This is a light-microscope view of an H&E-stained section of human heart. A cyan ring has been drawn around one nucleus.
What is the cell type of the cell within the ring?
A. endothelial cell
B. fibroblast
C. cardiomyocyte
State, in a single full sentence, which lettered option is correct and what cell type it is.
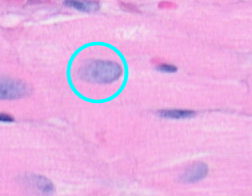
Option C holds, since the cell within the ring is a cardiomyocyte.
